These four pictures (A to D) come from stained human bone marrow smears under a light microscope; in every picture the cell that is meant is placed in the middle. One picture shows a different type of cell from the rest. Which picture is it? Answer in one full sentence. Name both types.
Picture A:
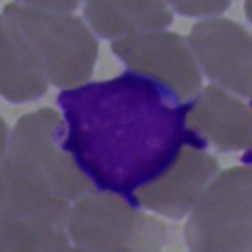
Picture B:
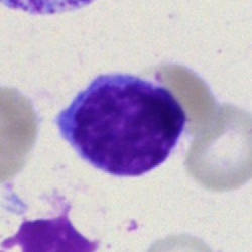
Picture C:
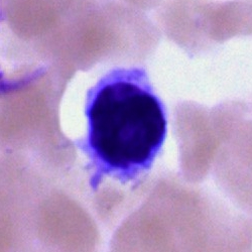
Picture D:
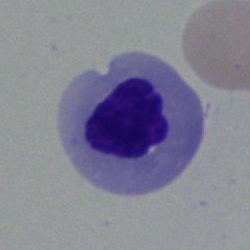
Unlike the rest, which show lymphocytes, picture D shows an erythroblast.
